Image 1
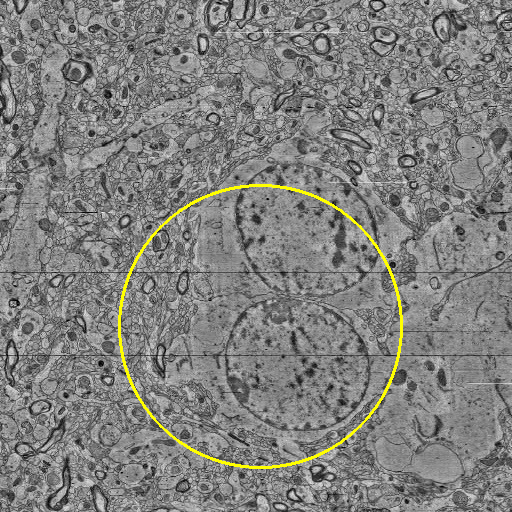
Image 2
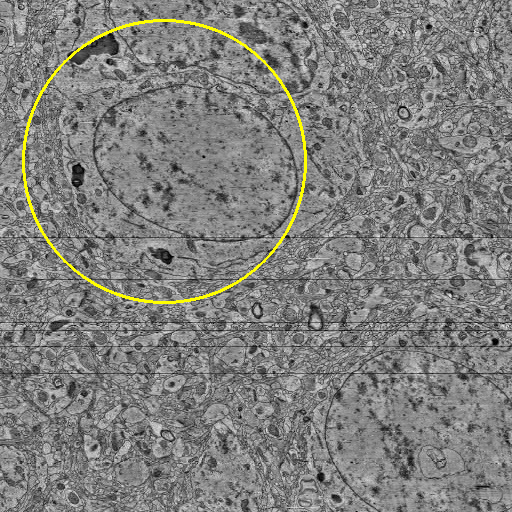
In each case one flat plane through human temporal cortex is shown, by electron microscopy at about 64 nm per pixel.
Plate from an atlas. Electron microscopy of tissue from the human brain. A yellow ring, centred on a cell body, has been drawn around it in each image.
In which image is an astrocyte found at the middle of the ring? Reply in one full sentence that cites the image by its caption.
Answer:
The requested cell is the one at the ring's centre in Image 1.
